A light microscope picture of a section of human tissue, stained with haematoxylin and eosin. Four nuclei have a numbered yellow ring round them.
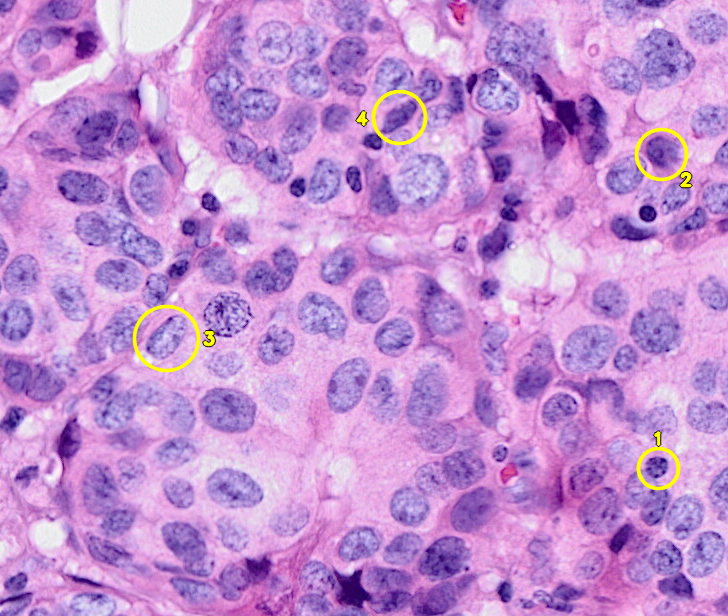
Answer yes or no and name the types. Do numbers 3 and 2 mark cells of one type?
Yes, cell 3 is among the carcinoma cells, and cell 2 is as well.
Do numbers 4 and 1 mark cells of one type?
No, sorry to say, cell 4 is a carcinoma cell and cell 1 is a lymphocyte.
